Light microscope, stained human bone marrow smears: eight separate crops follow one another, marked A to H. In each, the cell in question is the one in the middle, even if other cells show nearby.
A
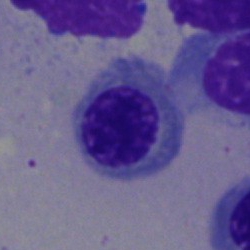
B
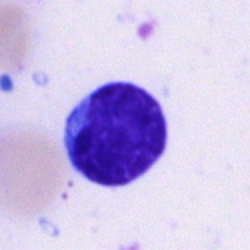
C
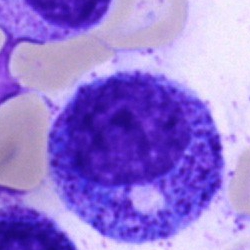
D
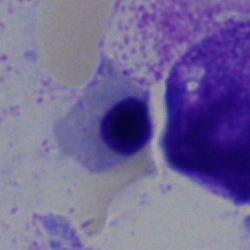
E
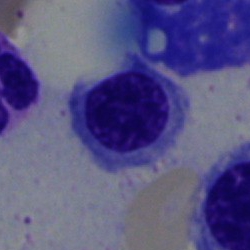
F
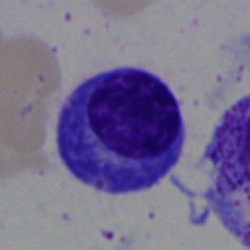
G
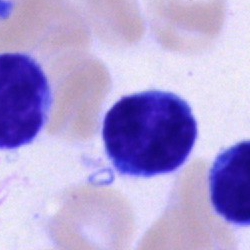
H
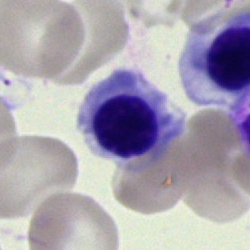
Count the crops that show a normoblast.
4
